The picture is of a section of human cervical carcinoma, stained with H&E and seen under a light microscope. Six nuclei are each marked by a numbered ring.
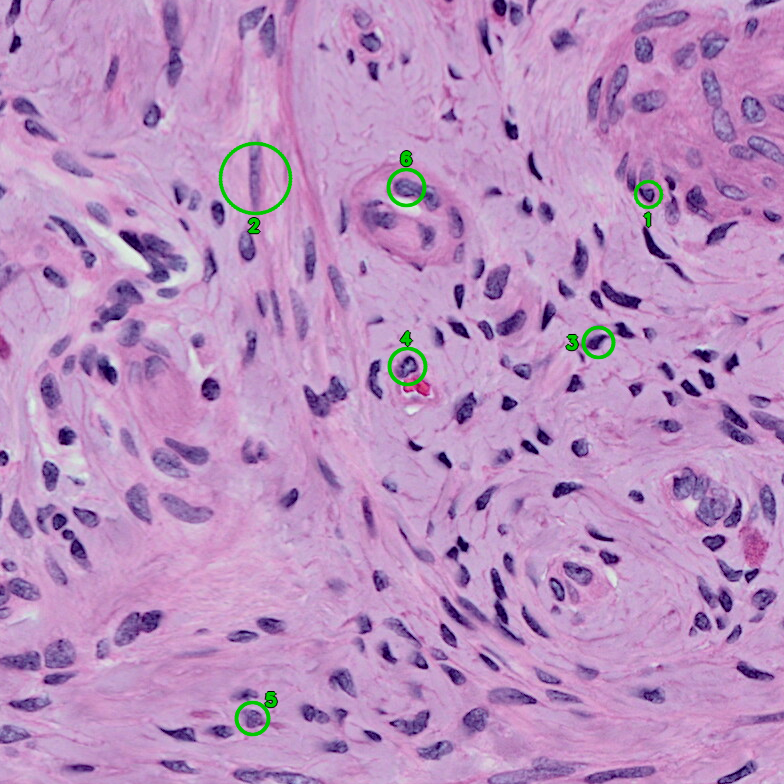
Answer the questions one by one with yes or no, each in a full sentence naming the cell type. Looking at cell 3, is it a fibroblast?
Yes, the cell to which number 3 refers is a fibroblast.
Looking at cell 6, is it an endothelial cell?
Yes, in this tissue section, number 6 is an endothelial cell.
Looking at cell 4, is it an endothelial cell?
Yes, the cell that has number 4 is an endothelial cell.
